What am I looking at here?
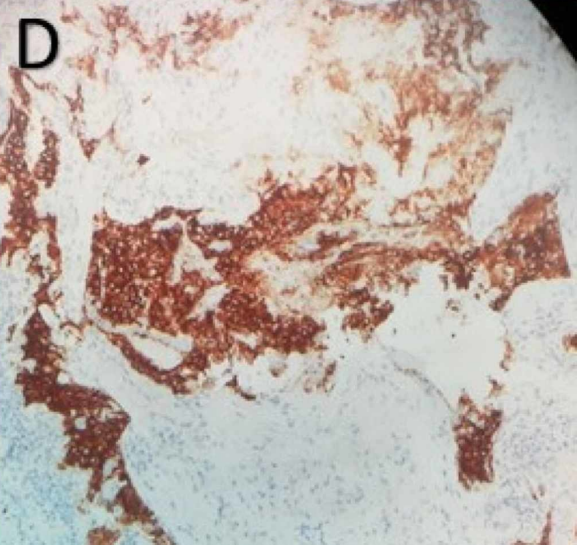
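The brown-stained cells form compact sheets and irregular nests and cords, with the stain diffusely filling the cytoplasm so that individual cells are hard to separate. Around these groups lies pale, loosely arranged tissue in which only small blue nuclei are seen and no brown staining, so the tumour cells stand out sharply from the surrounding stroma.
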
